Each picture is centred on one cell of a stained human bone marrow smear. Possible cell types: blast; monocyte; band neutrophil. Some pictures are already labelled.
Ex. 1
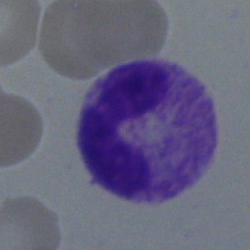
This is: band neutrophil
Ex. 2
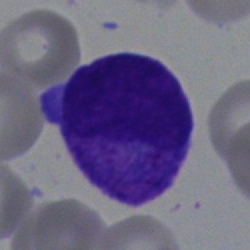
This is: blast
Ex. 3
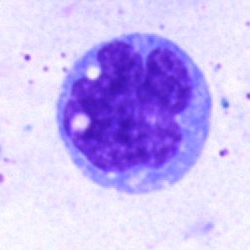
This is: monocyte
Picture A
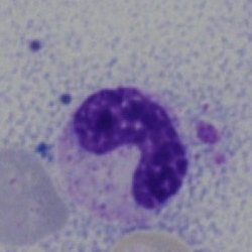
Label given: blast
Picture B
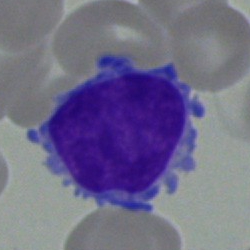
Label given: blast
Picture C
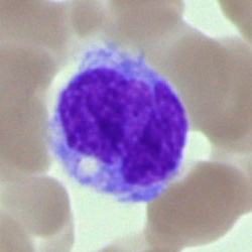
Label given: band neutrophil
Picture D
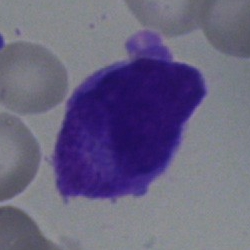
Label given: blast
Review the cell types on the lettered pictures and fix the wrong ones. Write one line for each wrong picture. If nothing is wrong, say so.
A: not blast but band neutrophil
C: not band neutrophil but monocyte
